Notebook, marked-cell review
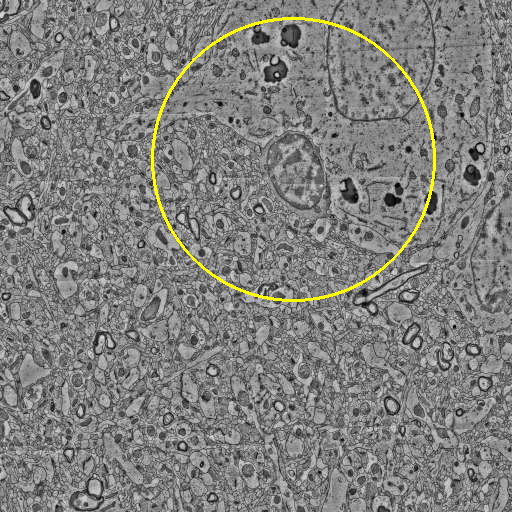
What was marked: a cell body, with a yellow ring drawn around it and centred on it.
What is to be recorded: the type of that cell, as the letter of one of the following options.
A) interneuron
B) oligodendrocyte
B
